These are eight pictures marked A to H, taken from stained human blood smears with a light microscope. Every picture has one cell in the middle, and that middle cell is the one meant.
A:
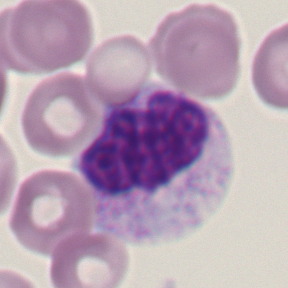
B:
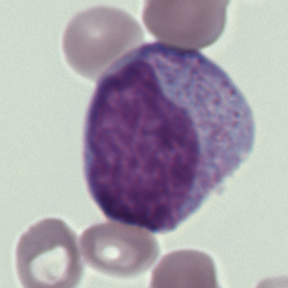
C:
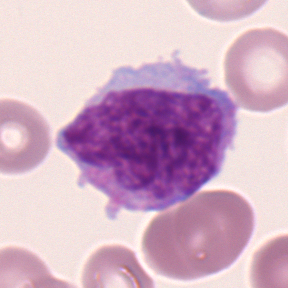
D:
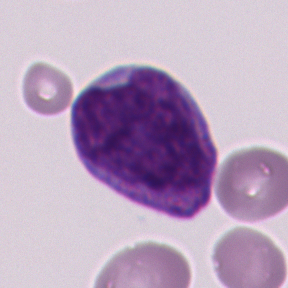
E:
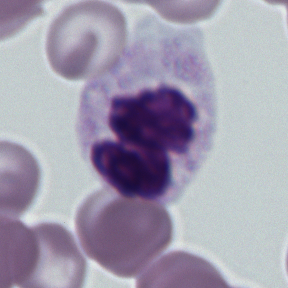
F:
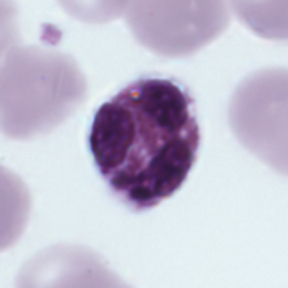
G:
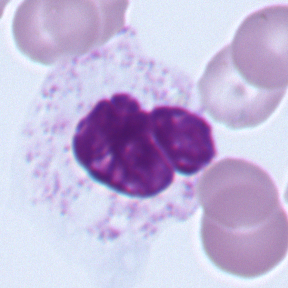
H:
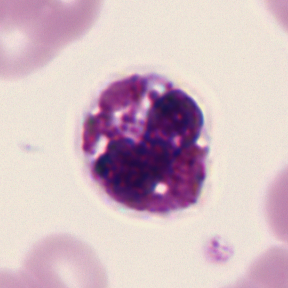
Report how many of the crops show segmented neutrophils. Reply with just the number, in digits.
3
